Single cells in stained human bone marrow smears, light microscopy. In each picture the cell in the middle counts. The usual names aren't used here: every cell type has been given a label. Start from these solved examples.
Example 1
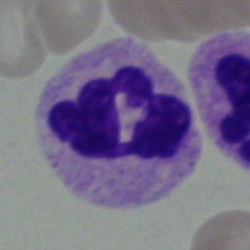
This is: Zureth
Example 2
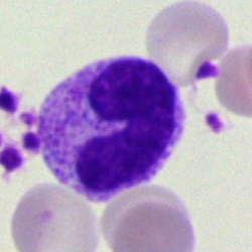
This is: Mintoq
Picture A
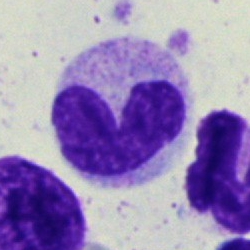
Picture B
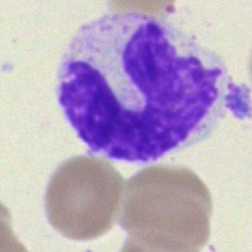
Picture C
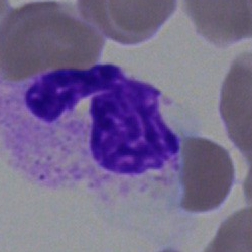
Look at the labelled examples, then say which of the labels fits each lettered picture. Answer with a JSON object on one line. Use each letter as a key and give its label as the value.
{"A": "Mintoq", "B": "Mintoq", "C": "Zureth"}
